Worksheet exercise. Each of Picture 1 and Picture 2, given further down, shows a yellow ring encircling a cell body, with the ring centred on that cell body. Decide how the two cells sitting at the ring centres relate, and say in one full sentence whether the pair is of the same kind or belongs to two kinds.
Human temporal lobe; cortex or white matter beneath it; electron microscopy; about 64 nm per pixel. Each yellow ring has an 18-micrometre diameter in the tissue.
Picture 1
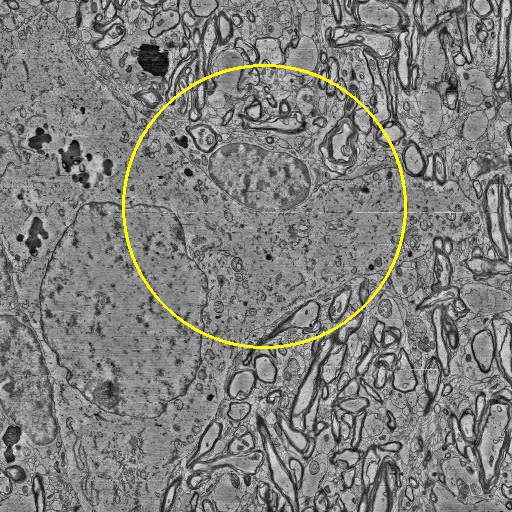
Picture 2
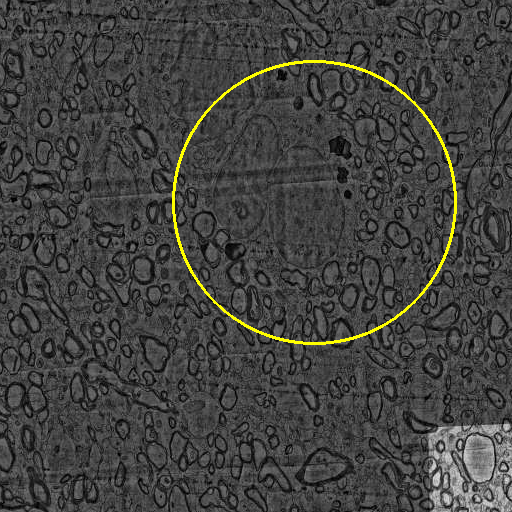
The cells at the ring centres in Picture 1 and Picture 2 belong to two kinds.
